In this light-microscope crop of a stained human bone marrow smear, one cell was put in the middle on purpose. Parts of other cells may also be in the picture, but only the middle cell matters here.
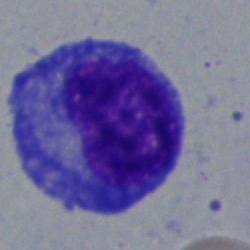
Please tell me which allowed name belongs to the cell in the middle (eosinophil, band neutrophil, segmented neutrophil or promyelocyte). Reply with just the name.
promyelocyte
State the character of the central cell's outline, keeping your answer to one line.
The contour of the cell is interrupted by ragged areas or by projections.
